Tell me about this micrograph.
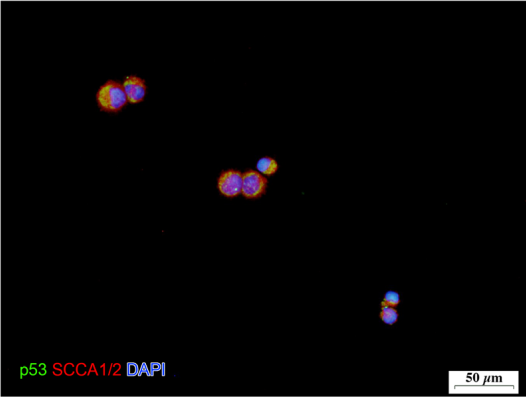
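These are rounded cells lying in small groups of two or three on a dark background. Small yellowish to green spots are scattered in the cytoplasm near the cell edges. Neighbouring cells in each group press against each other.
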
